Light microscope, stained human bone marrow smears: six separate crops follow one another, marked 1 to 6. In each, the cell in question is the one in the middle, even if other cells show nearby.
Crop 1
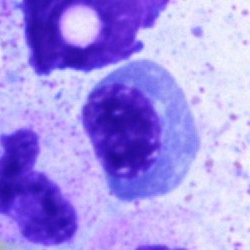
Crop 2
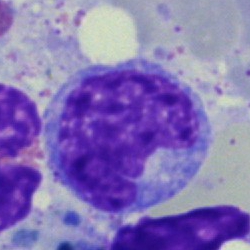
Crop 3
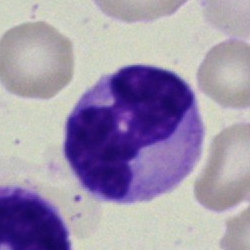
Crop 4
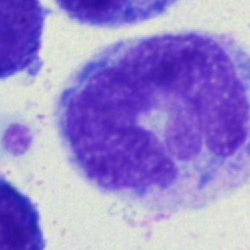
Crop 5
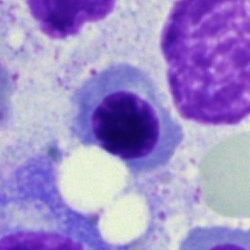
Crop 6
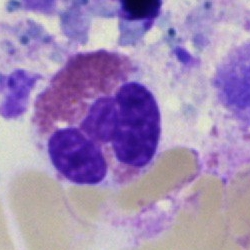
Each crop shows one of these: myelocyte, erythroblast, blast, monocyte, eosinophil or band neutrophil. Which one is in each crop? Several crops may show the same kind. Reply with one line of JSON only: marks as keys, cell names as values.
{"1": "erythroblast", "2": "monocyte", "3": "band neutrophil", "4": "monocyte", "5": "erythroblast", "6": "eosinophil"}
